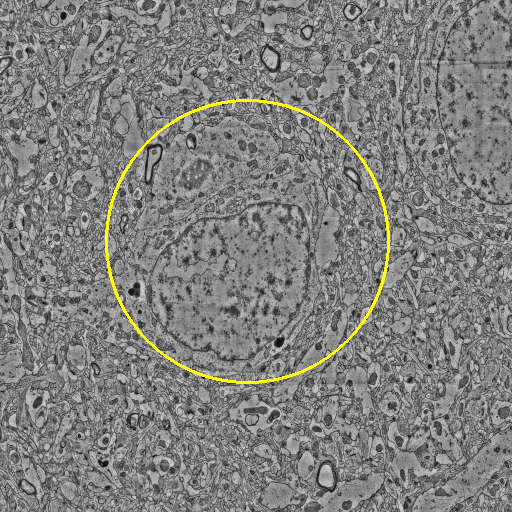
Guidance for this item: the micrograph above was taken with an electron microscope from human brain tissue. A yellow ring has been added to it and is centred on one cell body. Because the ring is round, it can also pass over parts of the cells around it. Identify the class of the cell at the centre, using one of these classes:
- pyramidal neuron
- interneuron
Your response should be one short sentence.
The ring surrounds the body of an interneuron.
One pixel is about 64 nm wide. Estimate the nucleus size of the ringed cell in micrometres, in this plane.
In this plane, about 11 micrometres in length and 9 in width.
